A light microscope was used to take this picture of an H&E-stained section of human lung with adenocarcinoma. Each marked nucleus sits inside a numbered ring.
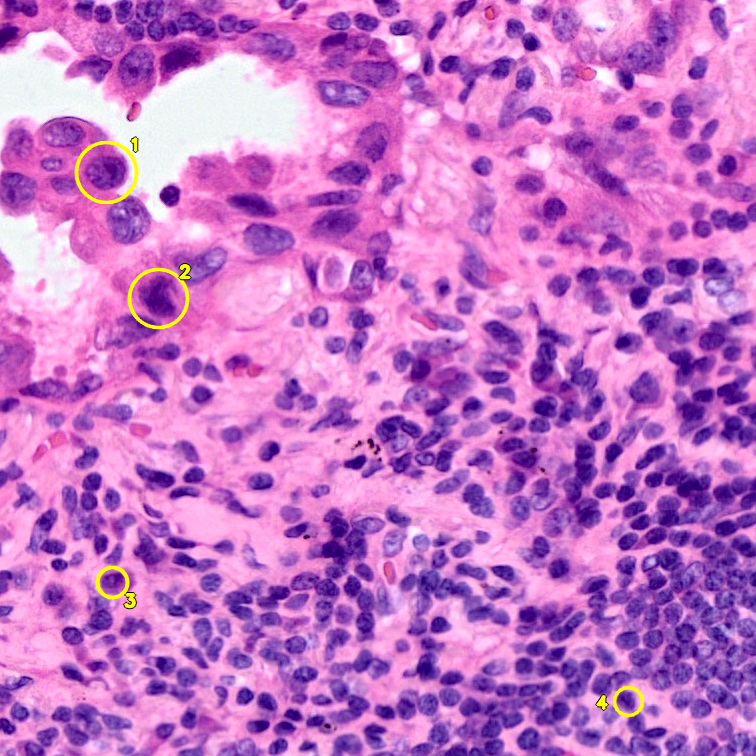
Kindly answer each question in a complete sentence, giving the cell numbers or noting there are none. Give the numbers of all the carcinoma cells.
The cells the numbers 1 and 2 point to are carcinoma cells.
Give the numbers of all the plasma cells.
Among the cells marked with numbers, the only one that is a plasma cell is number 3.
